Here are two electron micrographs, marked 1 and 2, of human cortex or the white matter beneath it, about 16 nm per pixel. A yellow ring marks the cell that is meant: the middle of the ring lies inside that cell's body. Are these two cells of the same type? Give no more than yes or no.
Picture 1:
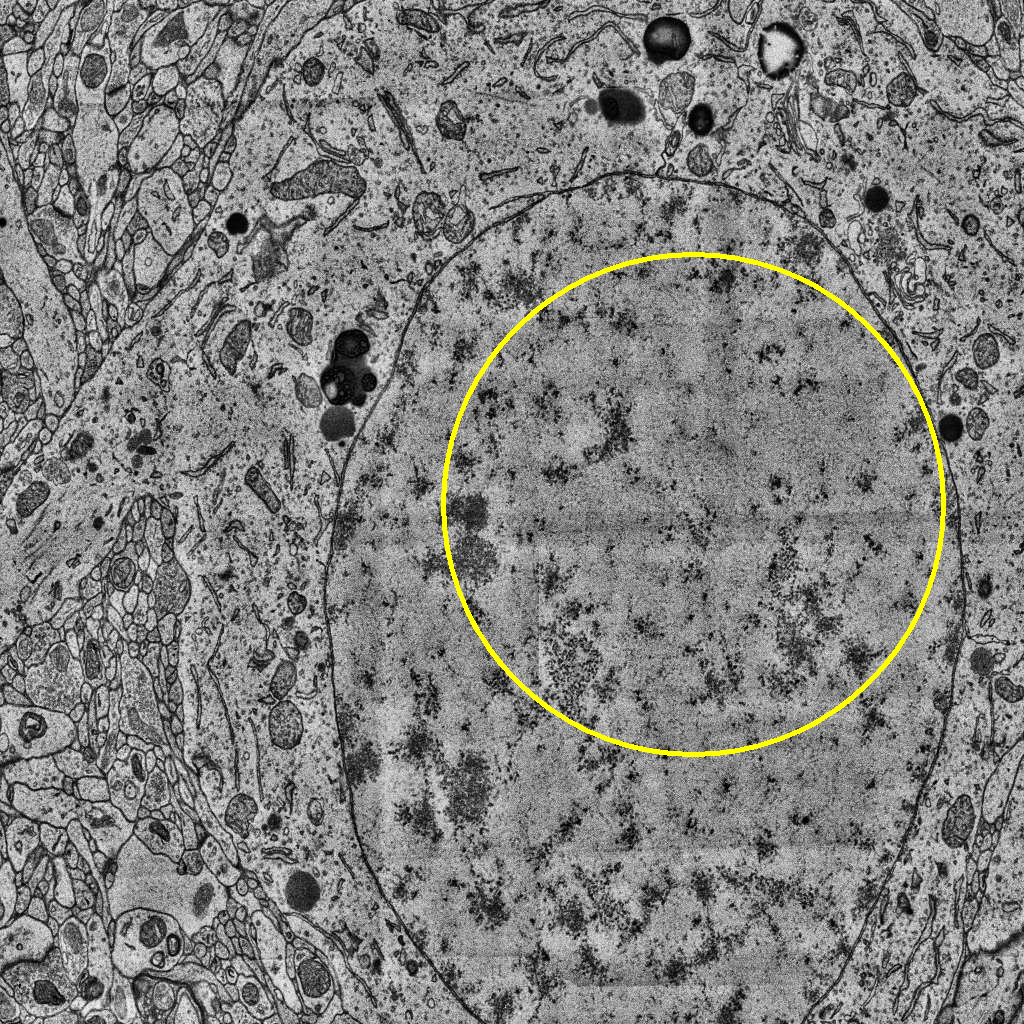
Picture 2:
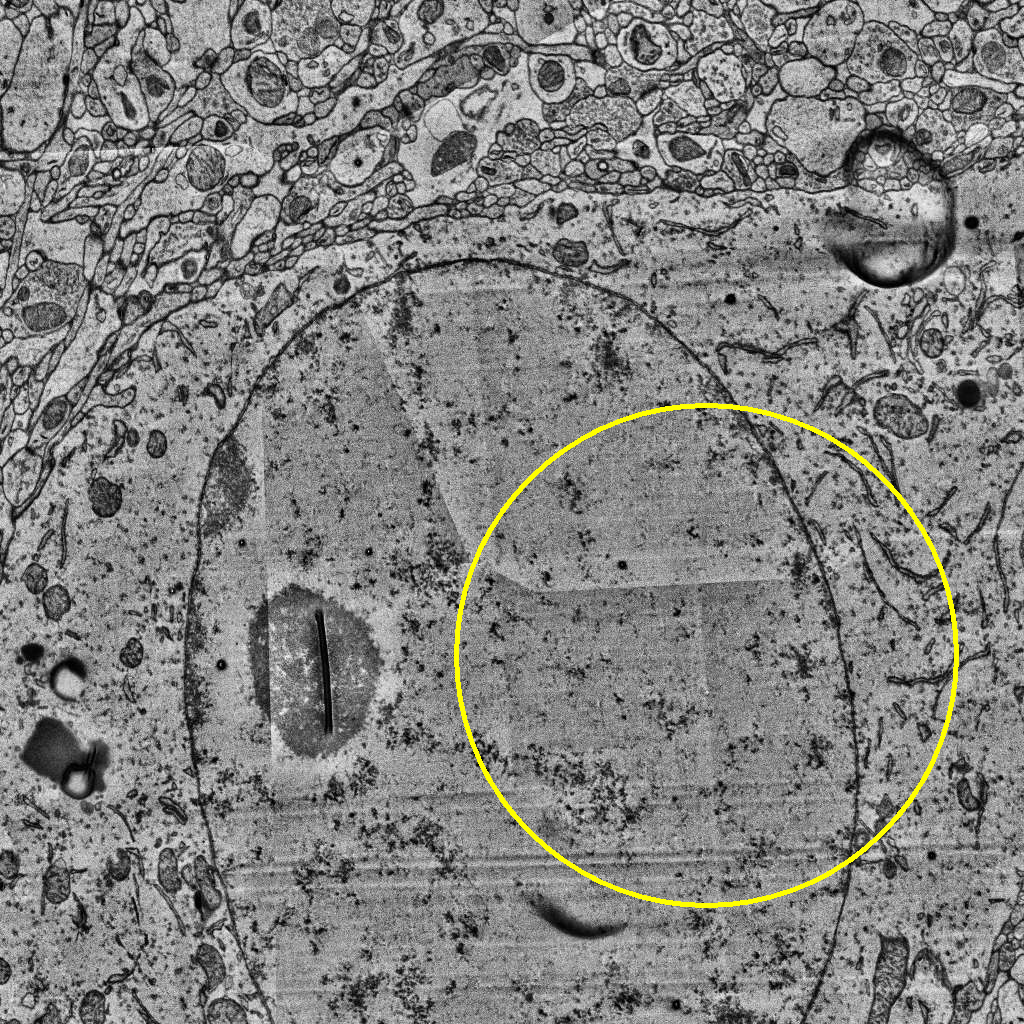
yes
